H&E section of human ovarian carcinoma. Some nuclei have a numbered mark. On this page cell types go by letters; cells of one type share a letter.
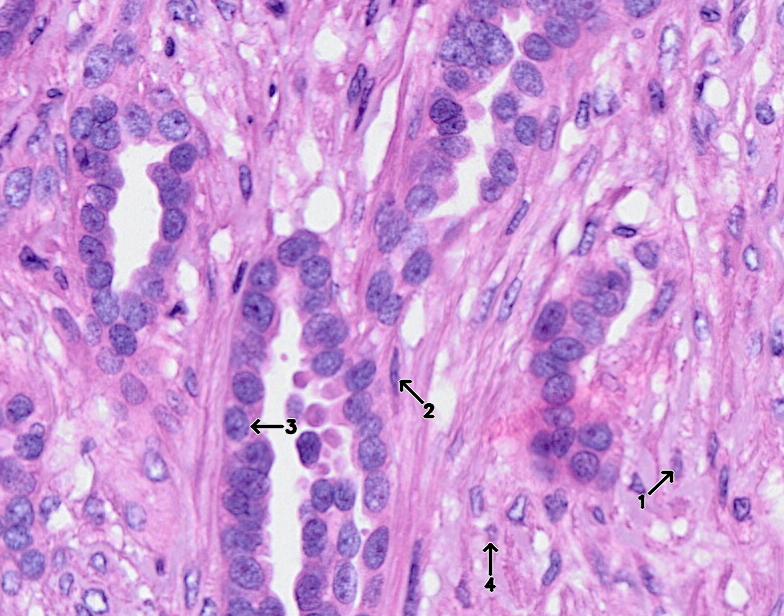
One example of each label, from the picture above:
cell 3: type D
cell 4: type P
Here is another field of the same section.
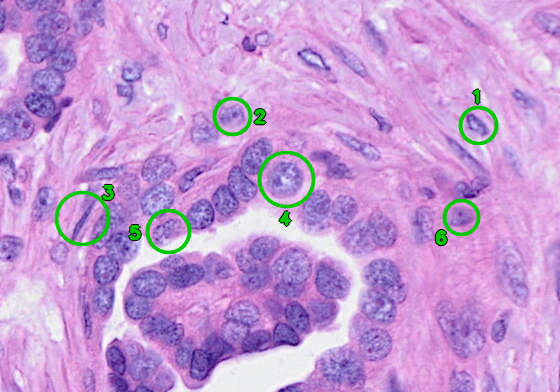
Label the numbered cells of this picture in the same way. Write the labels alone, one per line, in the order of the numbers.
type P
type P
type P
type D
type D
type P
